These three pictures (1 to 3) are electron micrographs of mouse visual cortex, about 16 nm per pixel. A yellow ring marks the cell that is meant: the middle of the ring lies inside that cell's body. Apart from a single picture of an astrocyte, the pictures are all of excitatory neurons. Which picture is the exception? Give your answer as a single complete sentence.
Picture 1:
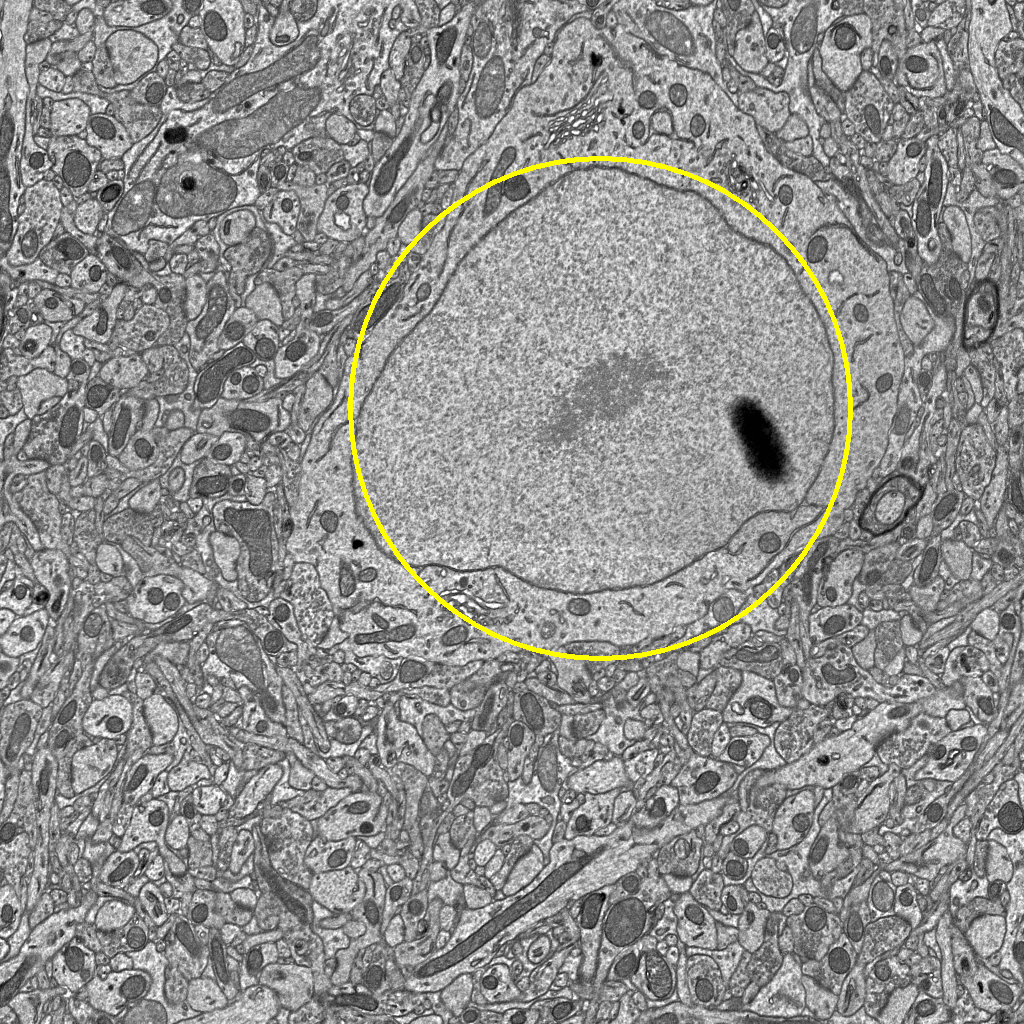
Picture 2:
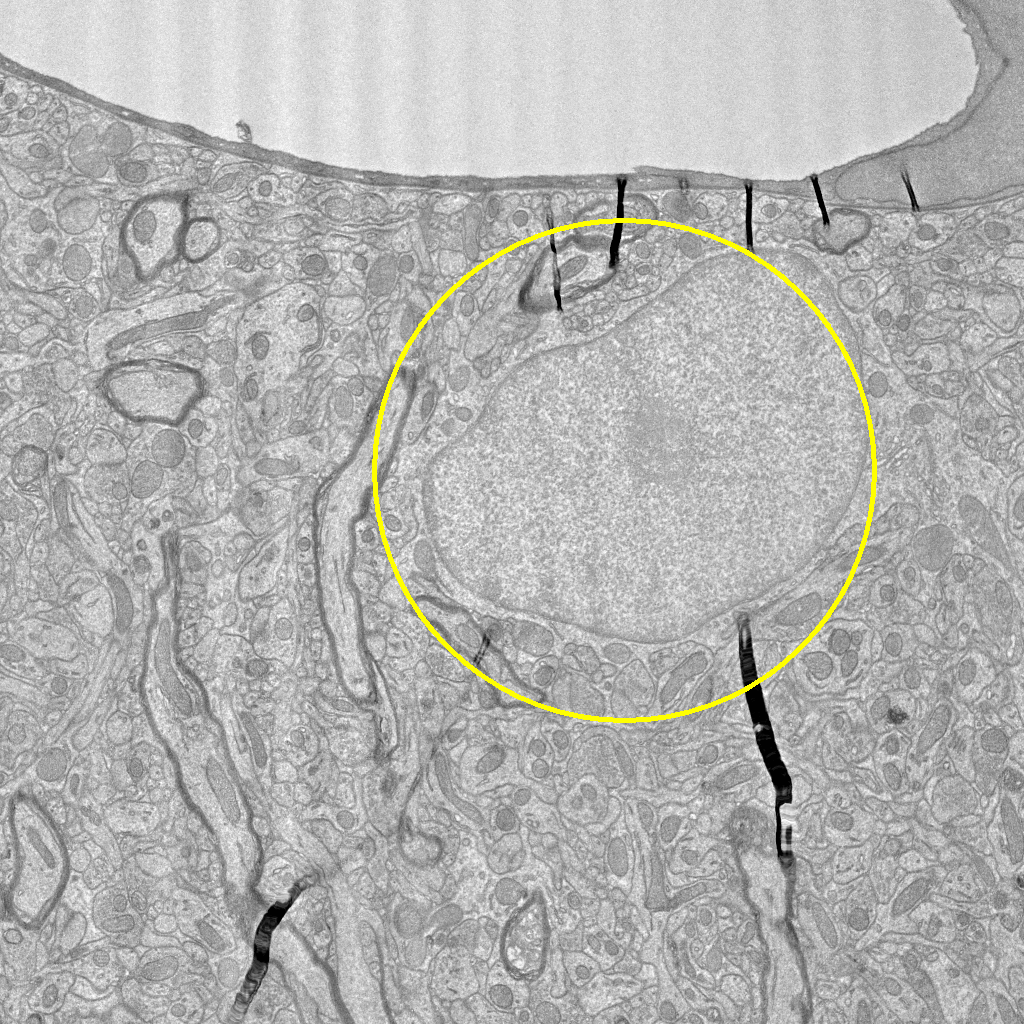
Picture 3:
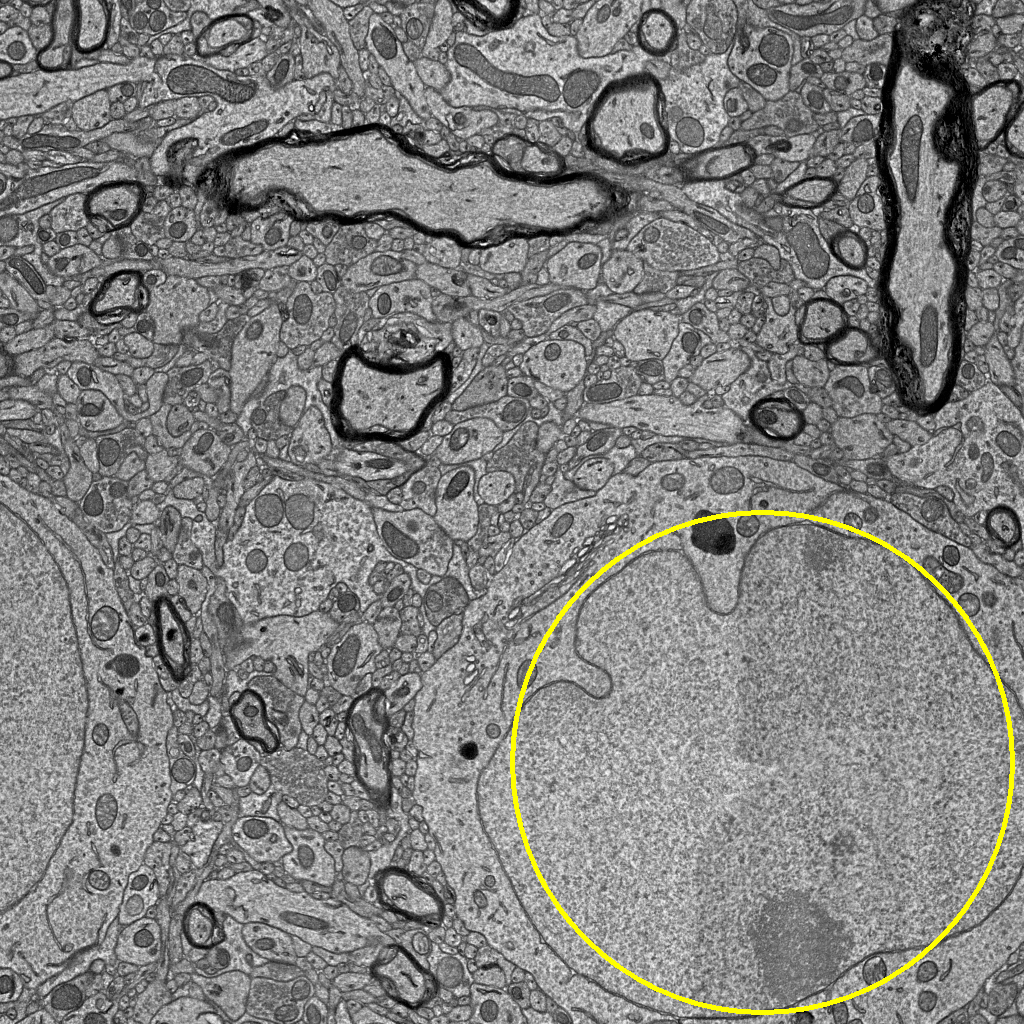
The cell in picture 2 is the astrocyte.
